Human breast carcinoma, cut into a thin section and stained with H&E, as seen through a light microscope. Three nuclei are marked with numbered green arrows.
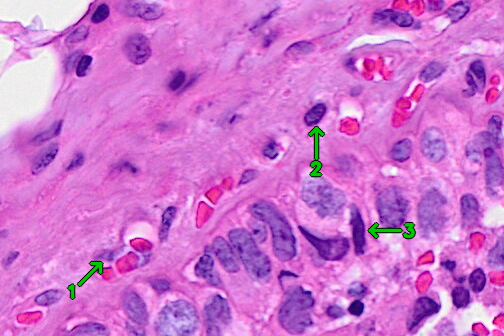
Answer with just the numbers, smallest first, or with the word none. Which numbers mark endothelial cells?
1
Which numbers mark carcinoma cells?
3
